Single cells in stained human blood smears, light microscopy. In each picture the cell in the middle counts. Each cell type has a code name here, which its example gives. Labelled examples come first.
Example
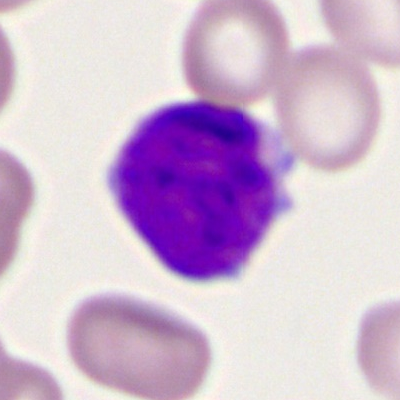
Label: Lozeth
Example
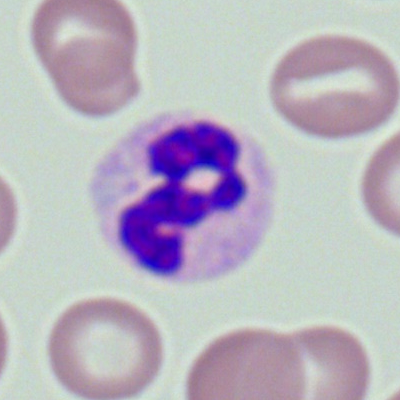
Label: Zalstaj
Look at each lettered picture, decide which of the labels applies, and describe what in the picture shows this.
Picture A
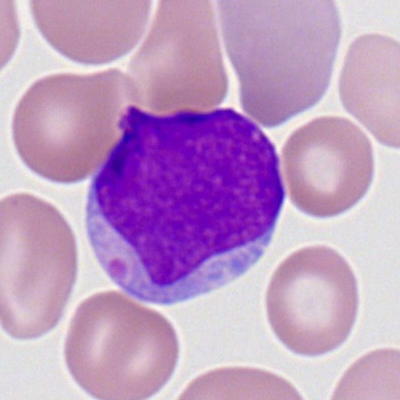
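Lozeth: The nucleus fills most of the cell.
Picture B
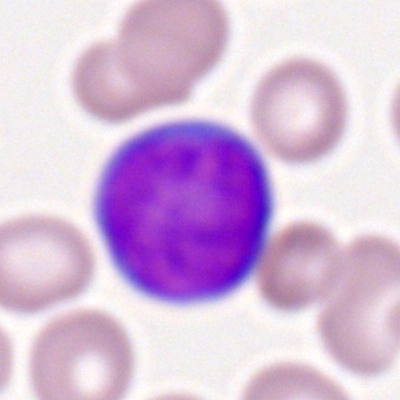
Lozeth: The cytoplasm is only a thin blue rim around the nucleus.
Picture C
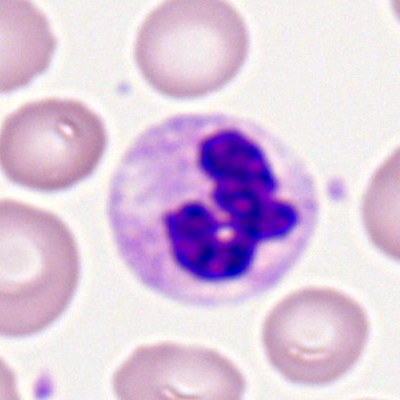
Zalstaj: The cytoplasm is plentiful and pale lilac-pink.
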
